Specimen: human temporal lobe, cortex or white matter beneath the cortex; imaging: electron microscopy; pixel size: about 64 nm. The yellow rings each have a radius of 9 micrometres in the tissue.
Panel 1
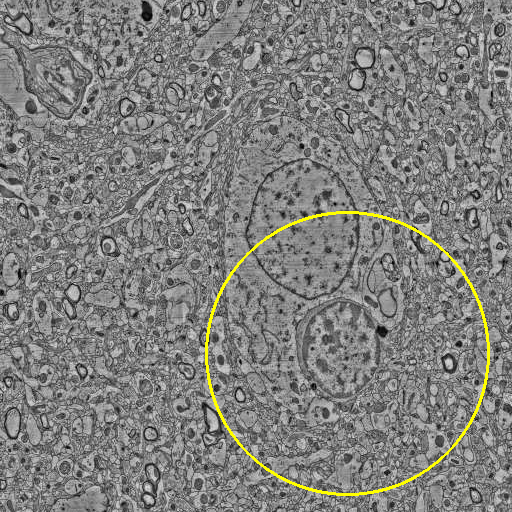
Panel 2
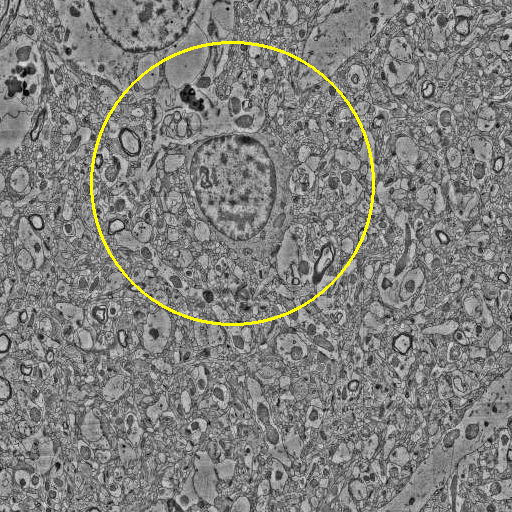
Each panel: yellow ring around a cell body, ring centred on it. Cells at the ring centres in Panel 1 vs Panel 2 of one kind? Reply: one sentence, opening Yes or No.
Yes, Panel 1 and Panel 2 have cells of one kind at the ring centres.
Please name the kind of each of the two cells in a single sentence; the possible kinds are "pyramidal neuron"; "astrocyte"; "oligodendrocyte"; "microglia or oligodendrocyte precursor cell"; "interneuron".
The cell at the ring centre is an oligodendrocyte in both pictures.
